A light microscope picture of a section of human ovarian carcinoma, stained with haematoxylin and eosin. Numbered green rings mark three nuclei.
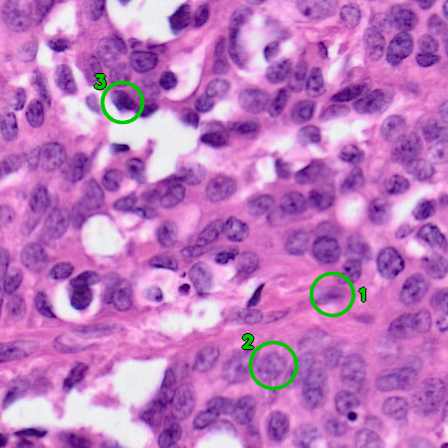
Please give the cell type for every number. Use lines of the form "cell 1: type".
cell 1: endothelial cell
cell 2: carcinoma cell
cell 3: carcinoma cell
